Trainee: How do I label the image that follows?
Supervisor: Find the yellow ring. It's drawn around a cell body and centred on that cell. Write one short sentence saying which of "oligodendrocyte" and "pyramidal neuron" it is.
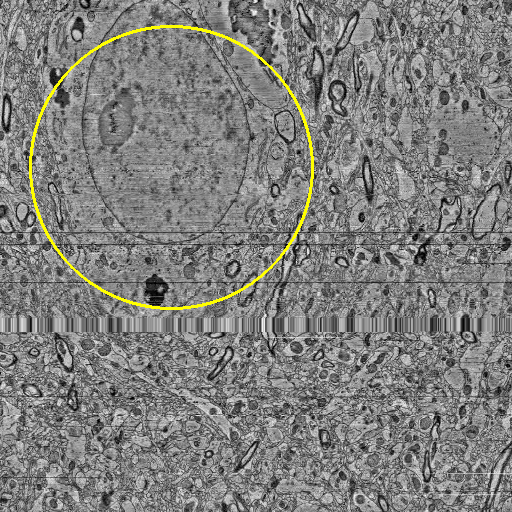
This is the cell body of a pyramidal neuron.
